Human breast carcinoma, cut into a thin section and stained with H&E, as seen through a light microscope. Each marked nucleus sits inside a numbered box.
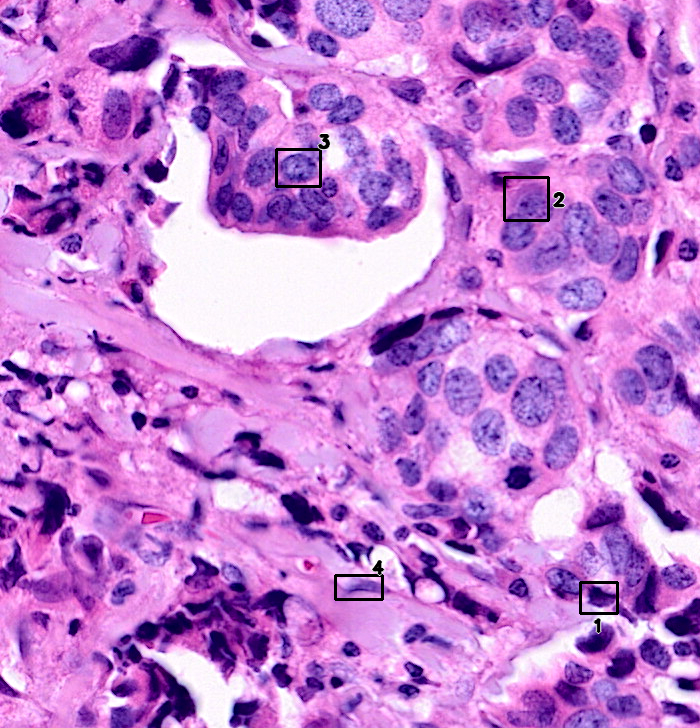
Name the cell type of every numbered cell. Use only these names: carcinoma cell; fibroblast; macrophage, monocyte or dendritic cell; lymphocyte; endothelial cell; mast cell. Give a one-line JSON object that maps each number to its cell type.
{"1": "carcinoma cell", "2": "carcinoma cell", "3": "carcinoma cell", "4": "fibroblast"}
